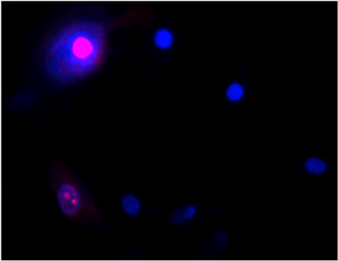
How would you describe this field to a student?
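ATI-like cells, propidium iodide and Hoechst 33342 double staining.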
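Sparse cultured cells are shown, their nuclei stained blue, most small and round to oval and spread apart on a dark background. One large, bright nucleus in the upper left glows pink-red, with a diffuse blue and red haze around it. A cell in the lower left has an oval blue nucleus with a couple of tiny red dots and a faint red outline of cytoplasm. The remaining nuclei show blue only, without red.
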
